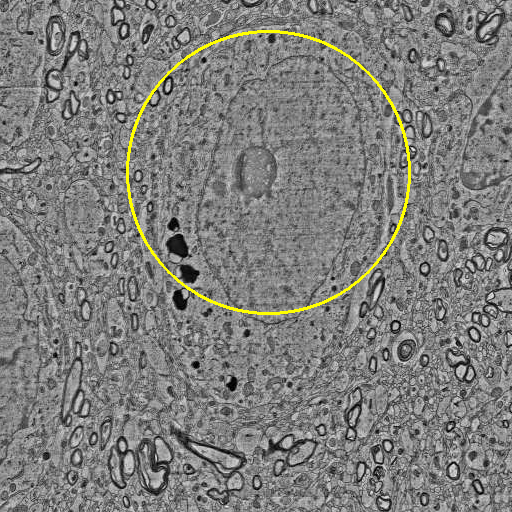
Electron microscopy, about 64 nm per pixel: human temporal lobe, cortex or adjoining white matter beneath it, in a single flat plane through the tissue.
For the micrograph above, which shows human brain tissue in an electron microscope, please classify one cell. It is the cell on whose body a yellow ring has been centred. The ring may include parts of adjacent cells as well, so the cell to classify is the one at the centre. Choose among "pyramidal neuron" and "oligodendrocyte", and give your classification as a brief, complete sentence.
I classify this cell as a pyramidal neuron.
